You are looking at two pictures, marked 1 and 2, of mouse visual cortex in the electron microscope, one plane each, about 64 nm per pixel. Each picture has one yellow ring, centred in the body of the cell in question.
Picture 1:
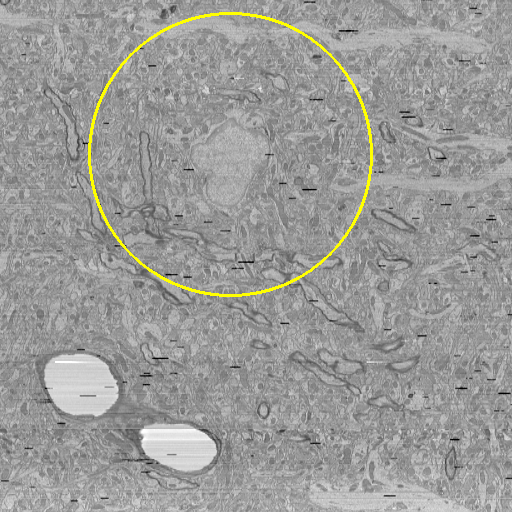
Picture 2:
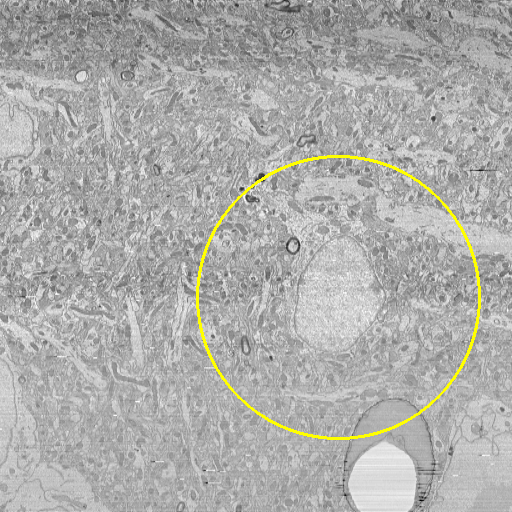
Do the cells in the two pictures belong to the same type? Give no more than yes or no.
no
